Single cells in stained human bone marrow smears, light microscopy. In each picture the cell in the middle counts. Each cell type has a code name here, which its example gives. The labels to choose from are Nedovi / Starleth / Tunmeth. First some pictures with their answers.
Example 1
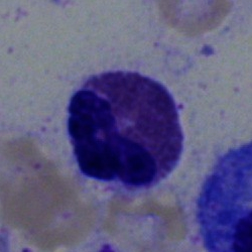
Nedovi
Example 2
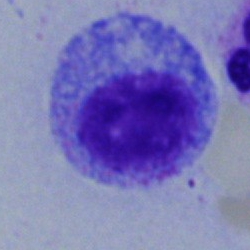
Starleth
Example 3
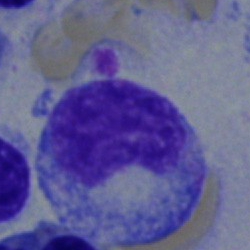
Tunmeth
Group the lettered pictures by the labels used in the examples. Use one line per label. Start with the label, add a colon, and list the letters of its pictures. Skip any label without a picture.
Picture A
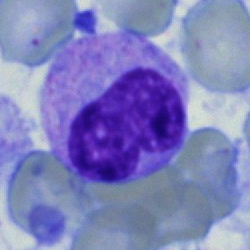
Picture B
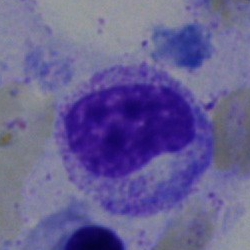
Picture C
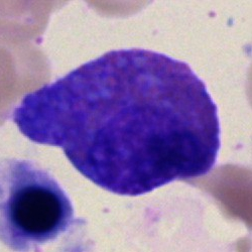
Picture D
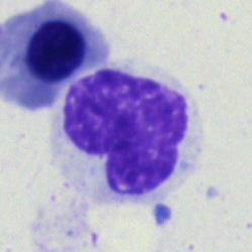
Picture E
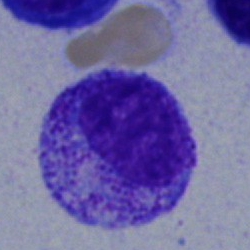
Nedovi: C
Starleth: E
Tunmeth: A, B, D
